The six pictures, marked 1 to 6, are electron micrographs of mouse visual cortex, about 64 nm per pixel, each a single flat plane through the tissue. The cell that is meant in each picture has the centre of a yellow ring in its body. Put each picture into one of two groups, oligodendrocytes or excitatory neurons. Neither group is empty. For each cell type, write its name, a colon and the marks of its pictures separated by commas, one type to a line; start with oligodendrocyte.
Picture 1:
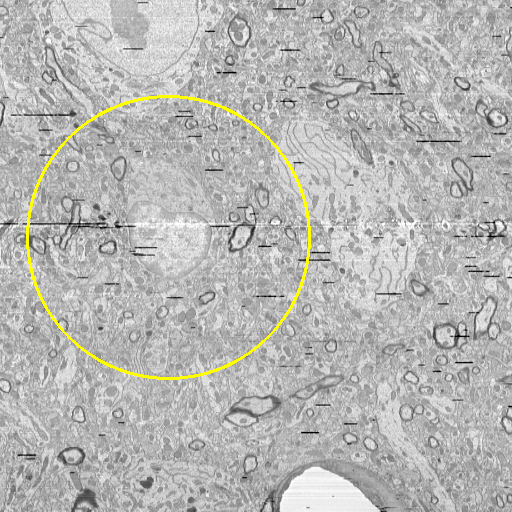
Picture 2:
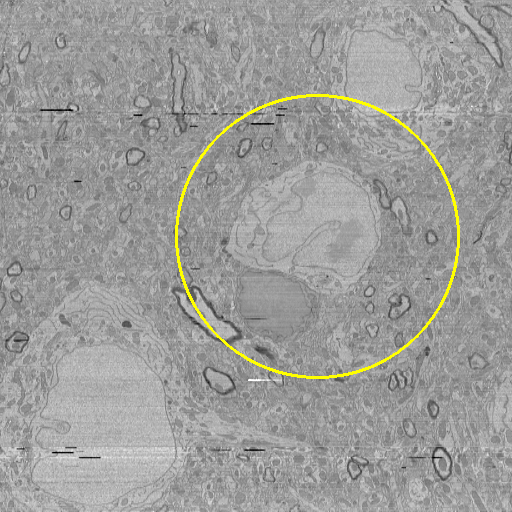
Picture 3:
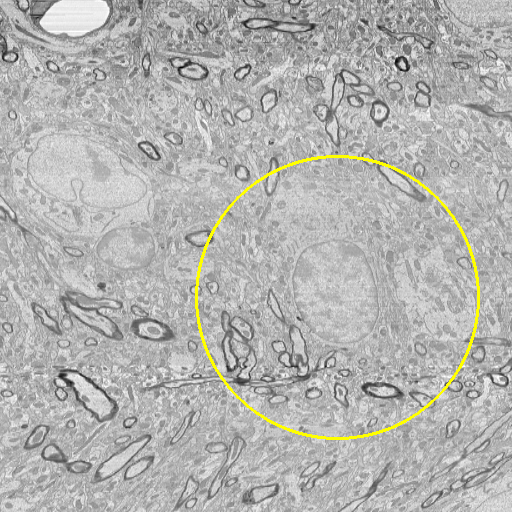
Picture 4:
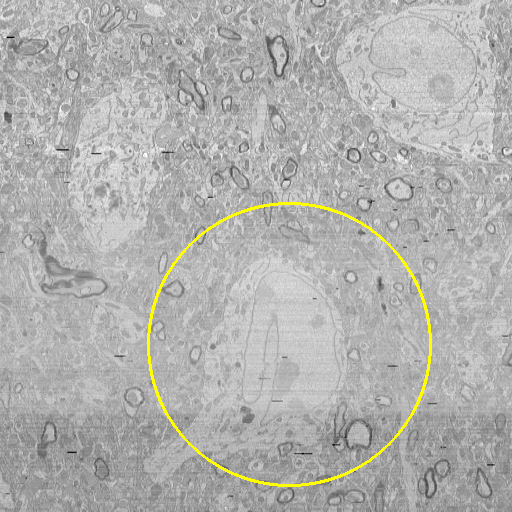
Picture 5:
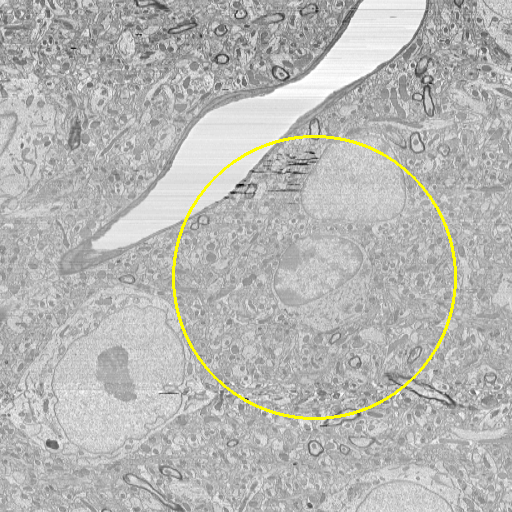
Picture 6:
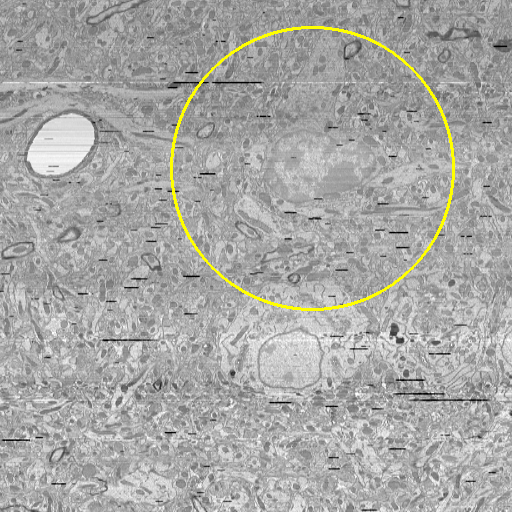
oligodendrocyte: 1, 3, 5, 6
excitatory neuron: 2, 4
